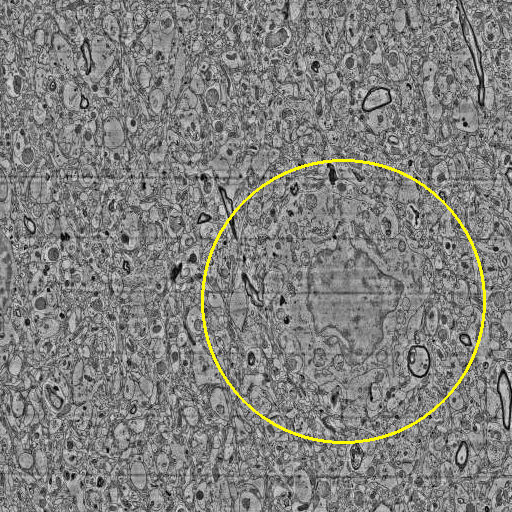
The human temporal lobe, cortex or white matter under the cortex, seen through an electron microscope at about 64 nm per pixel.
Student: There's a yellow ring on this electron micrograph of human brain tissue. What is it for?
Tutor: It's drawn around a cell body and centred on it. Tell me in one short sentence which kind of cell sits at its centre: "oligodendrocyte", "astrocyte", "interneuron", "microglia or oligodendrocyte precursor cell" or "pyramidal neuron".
The cell at the centre of the ring is an interneuron.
